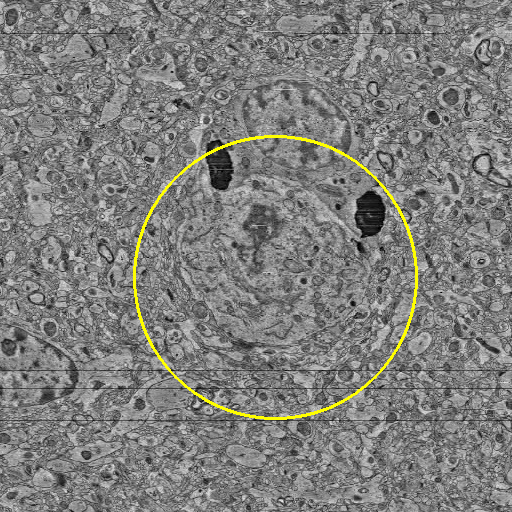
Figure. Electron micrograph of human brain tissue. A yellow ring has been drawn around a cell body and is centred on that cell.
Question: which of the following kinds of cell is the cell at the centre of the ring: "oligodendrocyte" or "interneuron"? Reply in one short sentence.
The cell at the centre of the ring is an interneuron.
